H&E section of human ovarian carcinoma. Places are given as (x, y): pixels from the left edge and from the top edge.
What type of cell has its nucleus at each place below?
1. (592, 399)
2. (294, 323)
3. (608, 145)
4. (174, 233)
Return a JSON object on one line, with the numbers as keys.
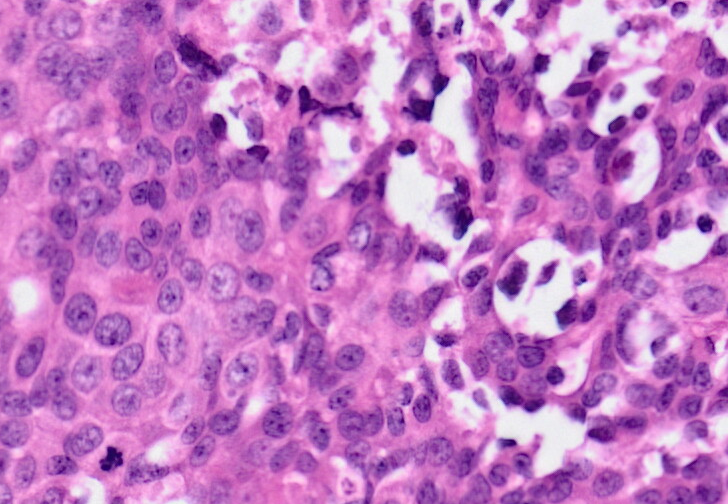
{"1": "carcinoma cell", "2": "macrophage or monocyte", "3": "carcinoma cell", "4": "carcinoma cell"}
